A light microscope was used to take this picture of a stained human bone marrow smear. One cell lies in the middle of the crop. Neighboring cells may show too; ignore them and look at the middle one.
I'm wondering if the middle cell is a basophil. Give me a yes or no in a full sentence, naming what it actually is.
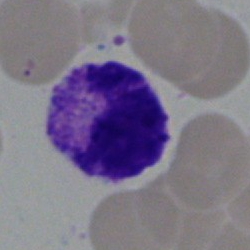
Yes, the cell sitting in the center is a basophil.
